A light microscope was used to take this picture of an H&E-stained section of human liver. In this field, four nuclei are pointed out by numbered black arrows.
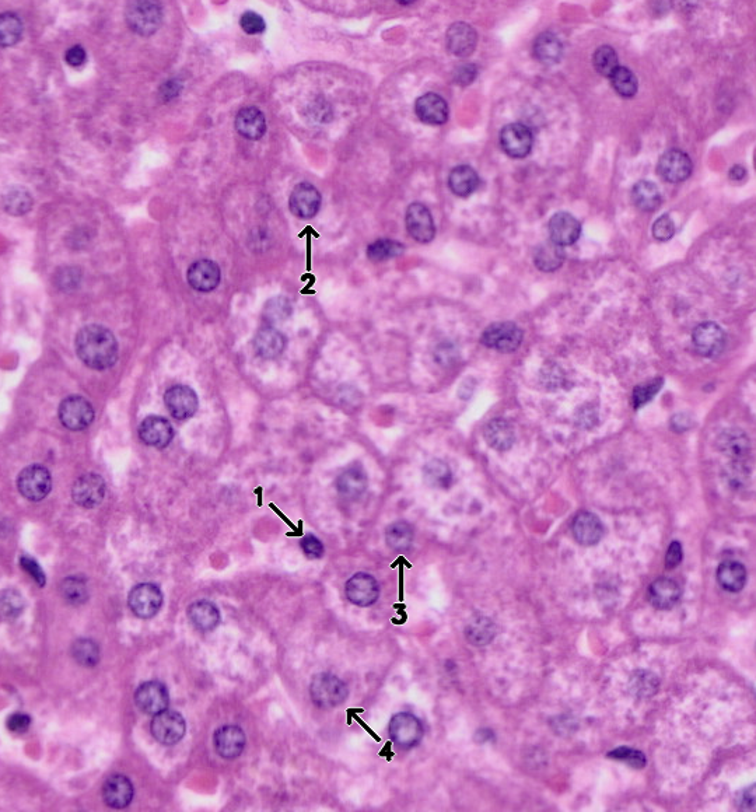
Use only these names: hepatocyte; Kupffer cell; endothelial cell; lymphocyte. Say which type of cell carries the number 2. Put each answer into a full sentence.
Among the marked nuclei, number 2 belongs to a hepatocyte.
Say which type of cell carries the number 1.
The one numbered 1 among the marked cells is a lymphocyte.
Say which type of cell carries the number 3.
The cell that goes by number 3 is a hepatocyte.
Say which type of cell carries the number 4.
Among the marked cells, number 4 is a hepatocyte.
